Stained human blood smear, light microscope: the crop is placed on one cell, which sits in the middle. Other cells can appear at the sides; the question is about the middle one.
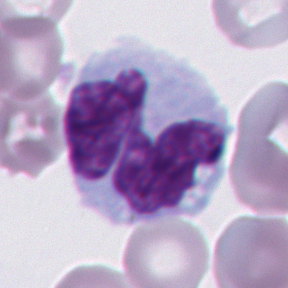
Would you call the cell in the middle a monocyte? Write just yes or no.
yes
